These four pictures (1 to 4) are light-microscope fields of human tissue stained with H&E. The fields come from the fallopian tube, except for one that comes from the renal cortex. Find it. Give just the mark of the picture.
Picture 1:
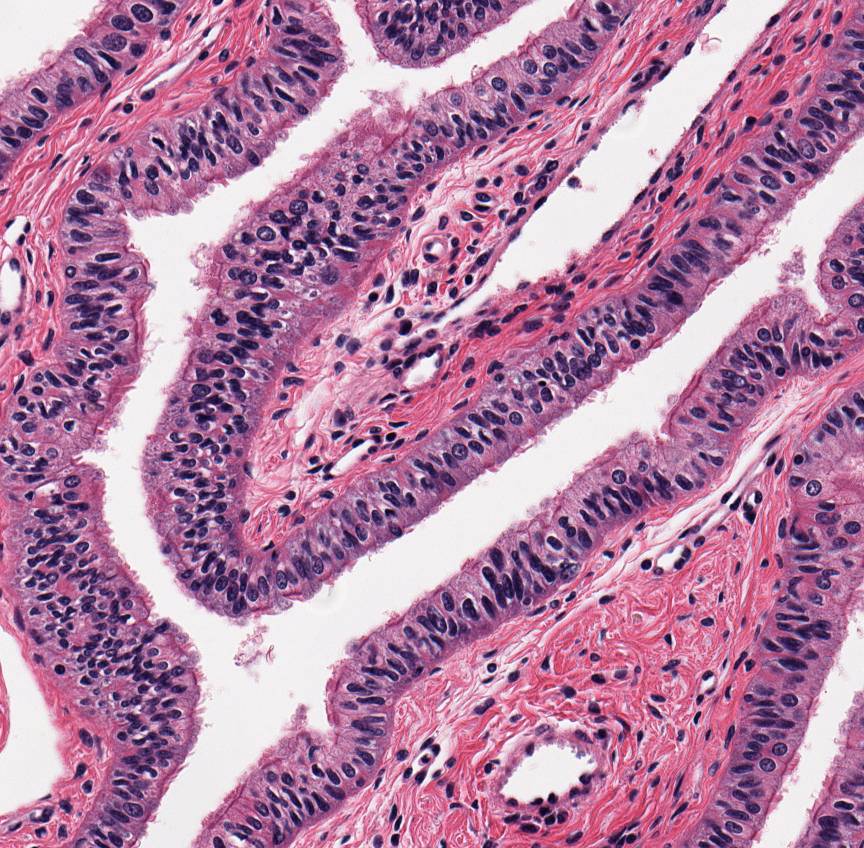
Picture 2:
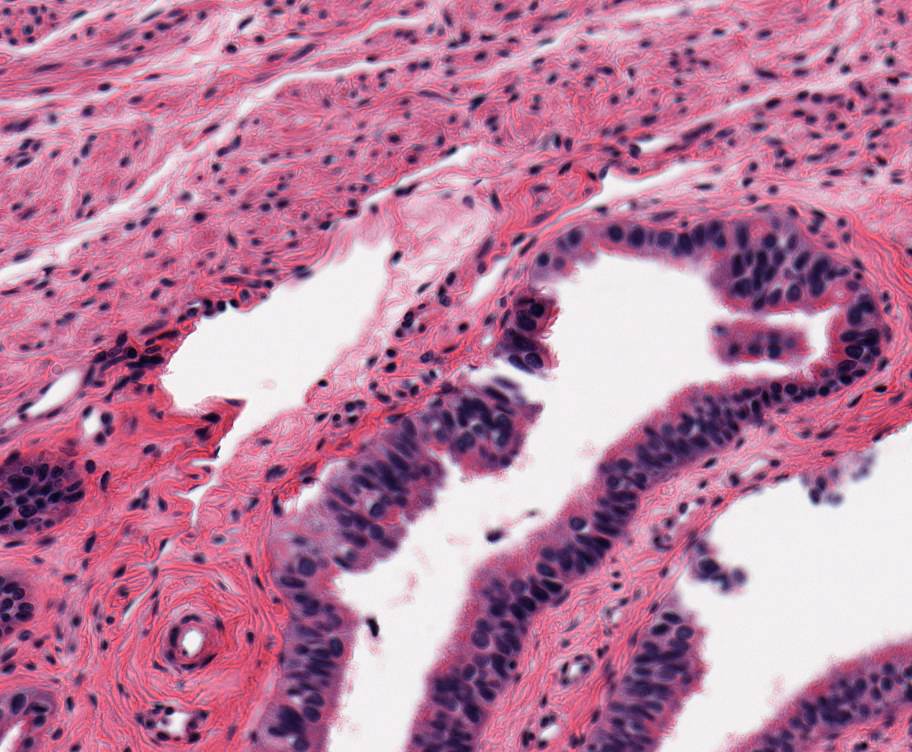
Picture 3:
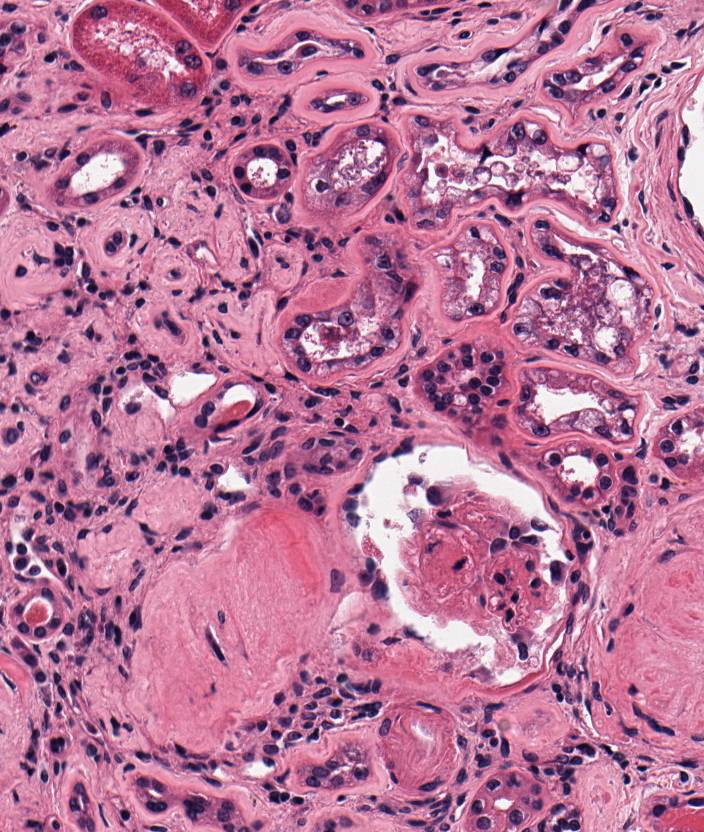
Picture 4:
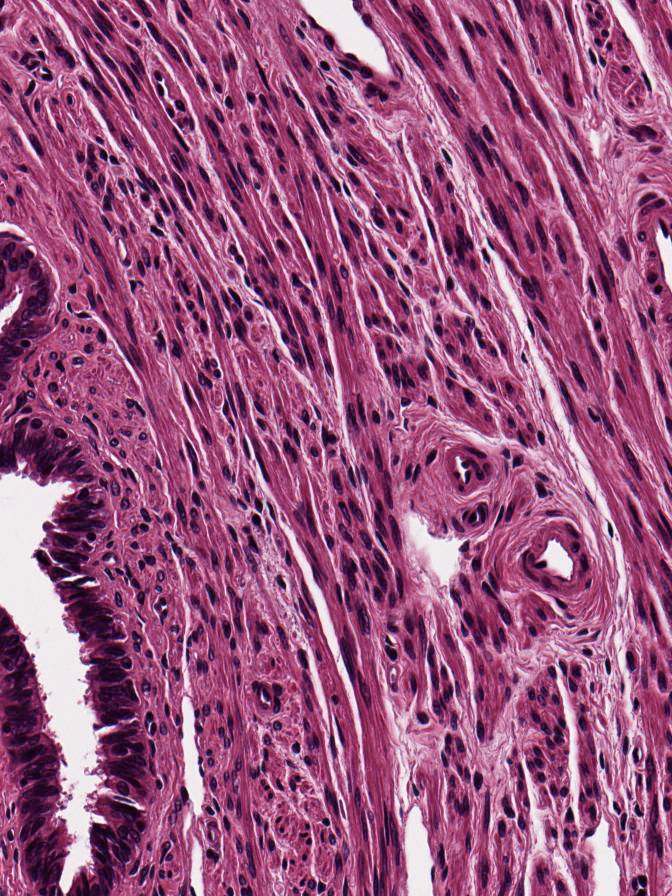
3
